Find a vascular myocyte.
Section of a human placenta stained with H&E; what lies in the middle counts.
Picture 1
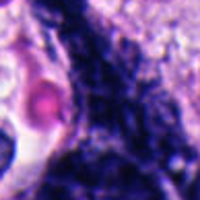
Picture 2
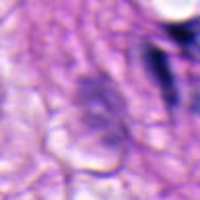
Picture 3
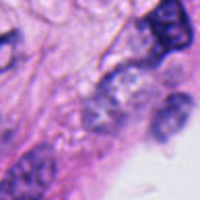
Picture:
2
